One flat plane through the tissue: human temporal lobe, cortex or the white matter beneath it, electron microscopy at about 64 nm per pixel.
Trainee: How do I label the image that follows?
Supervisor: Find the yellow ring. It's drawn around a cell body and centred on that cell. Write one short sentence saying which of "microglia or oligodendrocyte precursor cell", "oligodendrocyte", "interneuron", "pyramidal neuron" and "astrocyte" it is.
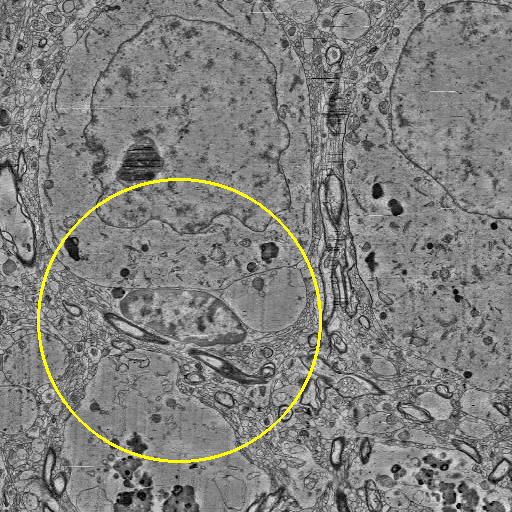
This is the cell body of a microglial cell or oligodendrocyte precursor cell.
